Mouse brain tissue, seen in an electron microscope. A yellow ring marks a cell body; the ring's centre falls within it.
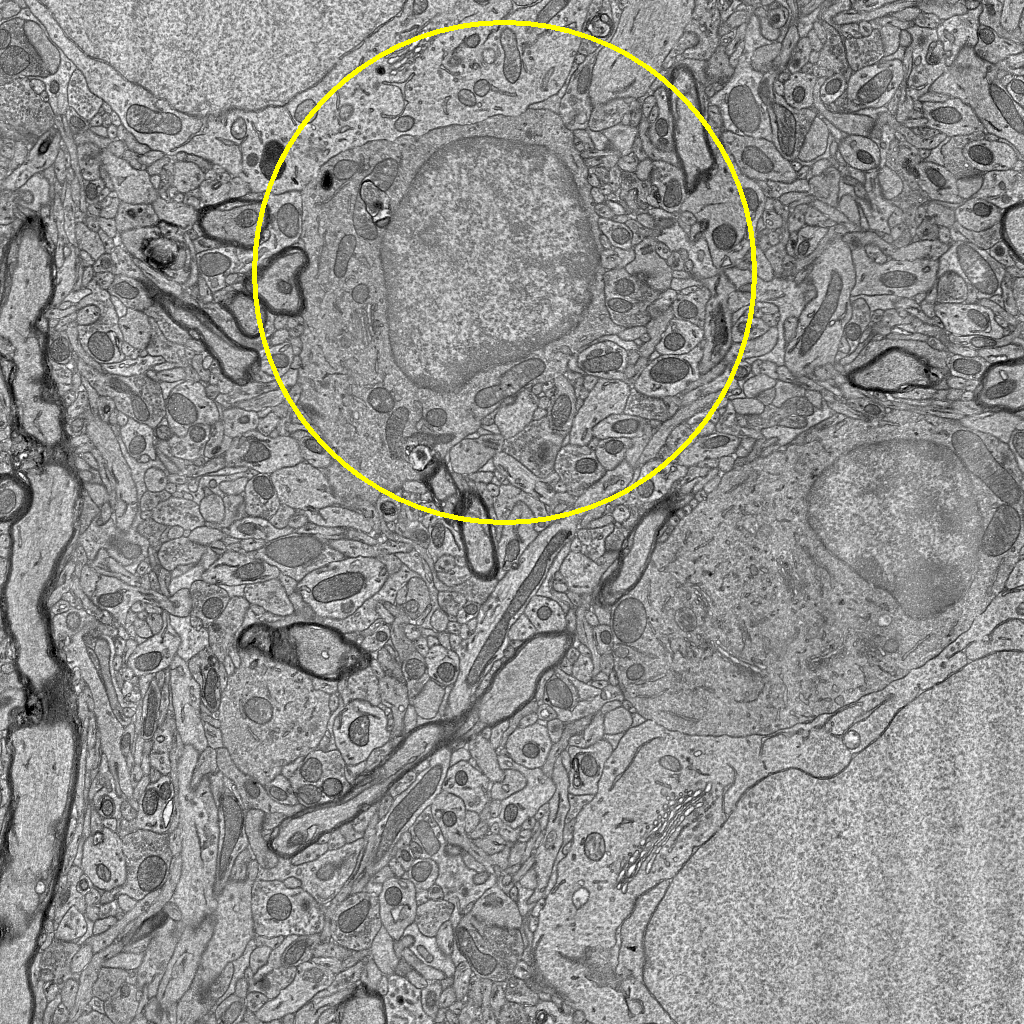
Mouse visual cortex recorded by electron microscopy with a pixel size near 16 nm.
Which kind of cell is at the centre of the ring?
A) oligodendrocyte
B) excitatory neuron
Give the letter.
A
